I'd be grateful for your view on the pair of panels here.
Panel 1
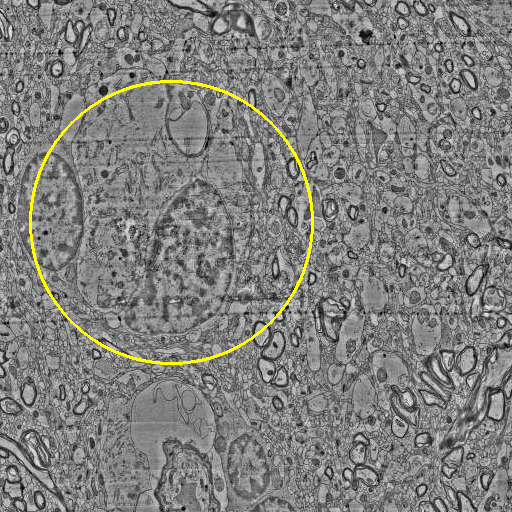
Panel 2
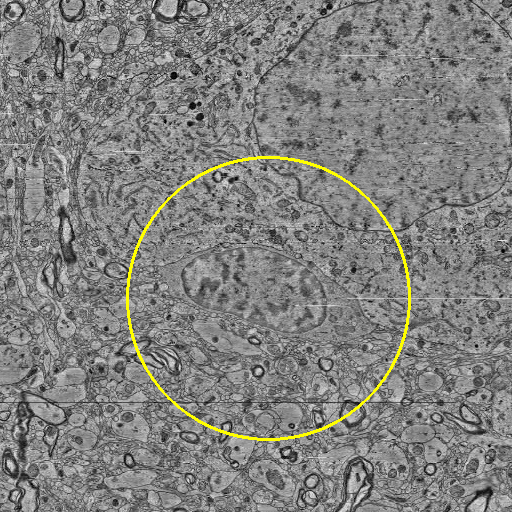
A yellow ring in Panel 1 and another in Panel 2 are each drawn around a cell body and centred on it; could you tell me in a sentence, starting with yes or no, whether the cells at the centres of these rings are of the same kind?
No, they are two kinds of cell.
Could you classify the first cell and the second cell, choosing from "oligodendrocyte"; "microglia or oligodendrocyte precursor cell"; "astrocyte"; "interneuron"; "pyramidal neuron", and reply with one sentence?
The second cell is an oligodendrocyte, while the first is a microglial cell or oligodendrocyte precursor cell.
